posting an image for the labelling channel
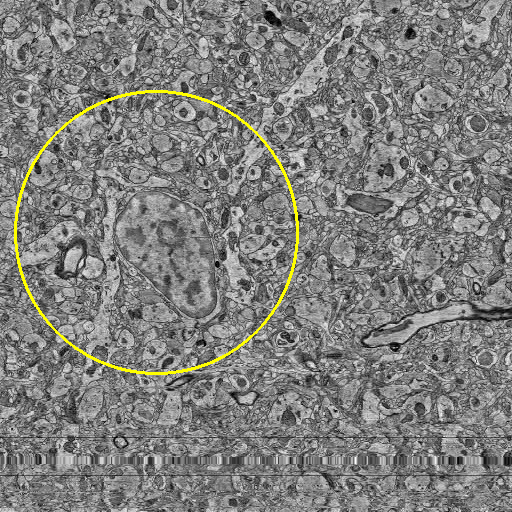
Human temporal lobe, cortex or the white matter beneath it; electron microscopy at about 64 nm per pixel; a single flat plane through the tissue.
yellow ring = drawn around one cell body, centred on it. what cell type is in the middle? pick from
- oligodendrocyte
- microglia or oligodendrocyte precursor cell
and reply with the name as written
microglia or oligodendrocyte precursor cell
